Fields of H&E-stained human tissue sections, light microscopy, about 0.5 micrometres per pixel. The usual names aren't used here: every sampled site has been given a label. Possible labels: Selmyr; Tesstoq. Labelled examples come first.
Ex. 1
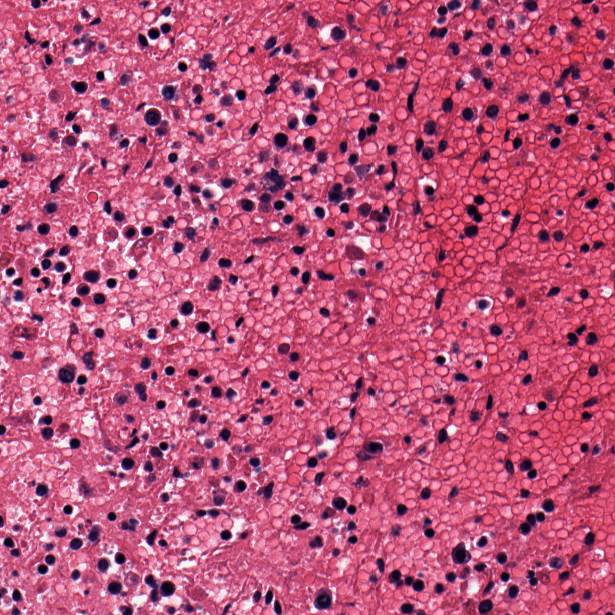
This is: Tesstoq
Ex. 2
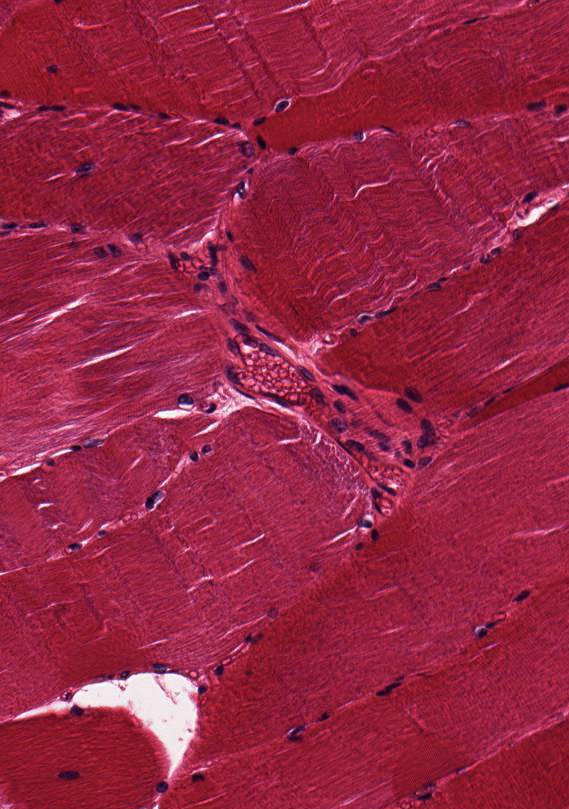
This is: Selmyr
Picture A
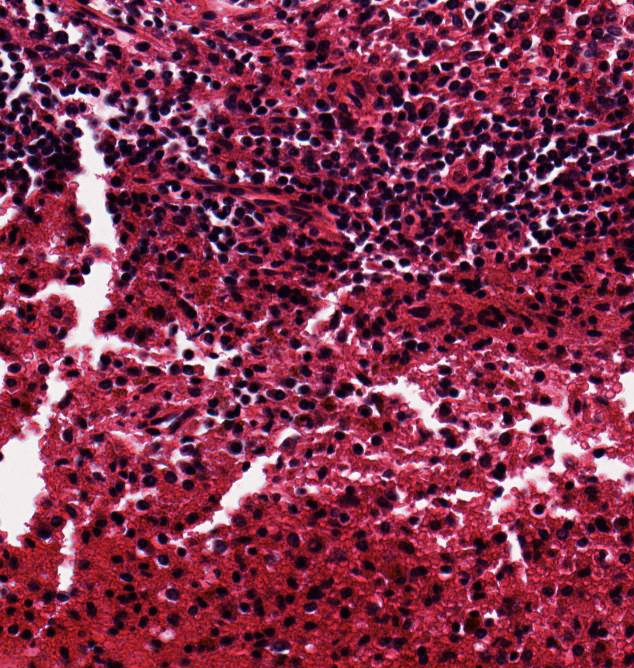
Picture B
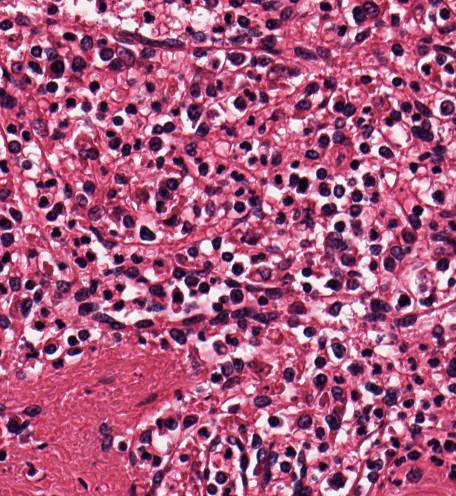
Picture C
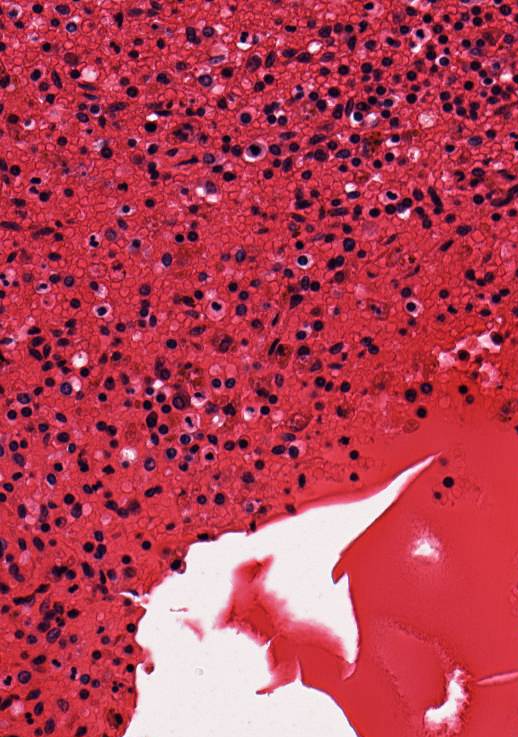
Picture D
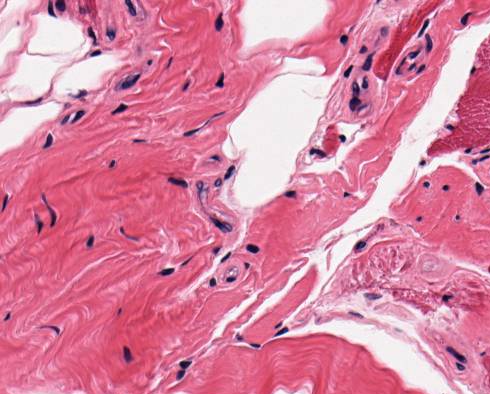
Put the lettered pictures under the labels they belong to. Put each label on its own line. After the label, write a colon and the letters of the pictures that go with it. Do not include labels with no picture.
Selmyr: D
Tesstoq: A, B, C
